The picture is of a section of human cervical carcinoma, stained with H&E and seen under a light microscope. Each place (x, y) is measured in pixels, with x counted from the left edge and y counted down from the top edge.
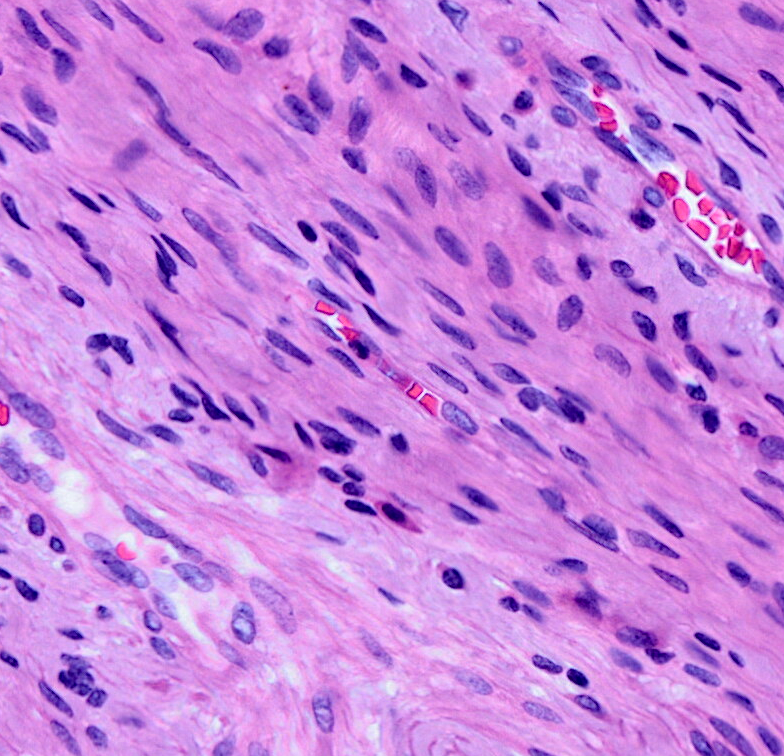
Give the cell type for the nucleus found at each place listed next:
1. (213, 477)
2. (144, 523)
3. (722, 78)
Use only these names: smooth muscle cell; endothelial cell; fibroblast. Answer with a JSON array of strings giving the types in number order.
["smooth muscle cell", "endothelial cell", "fibroblast"]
